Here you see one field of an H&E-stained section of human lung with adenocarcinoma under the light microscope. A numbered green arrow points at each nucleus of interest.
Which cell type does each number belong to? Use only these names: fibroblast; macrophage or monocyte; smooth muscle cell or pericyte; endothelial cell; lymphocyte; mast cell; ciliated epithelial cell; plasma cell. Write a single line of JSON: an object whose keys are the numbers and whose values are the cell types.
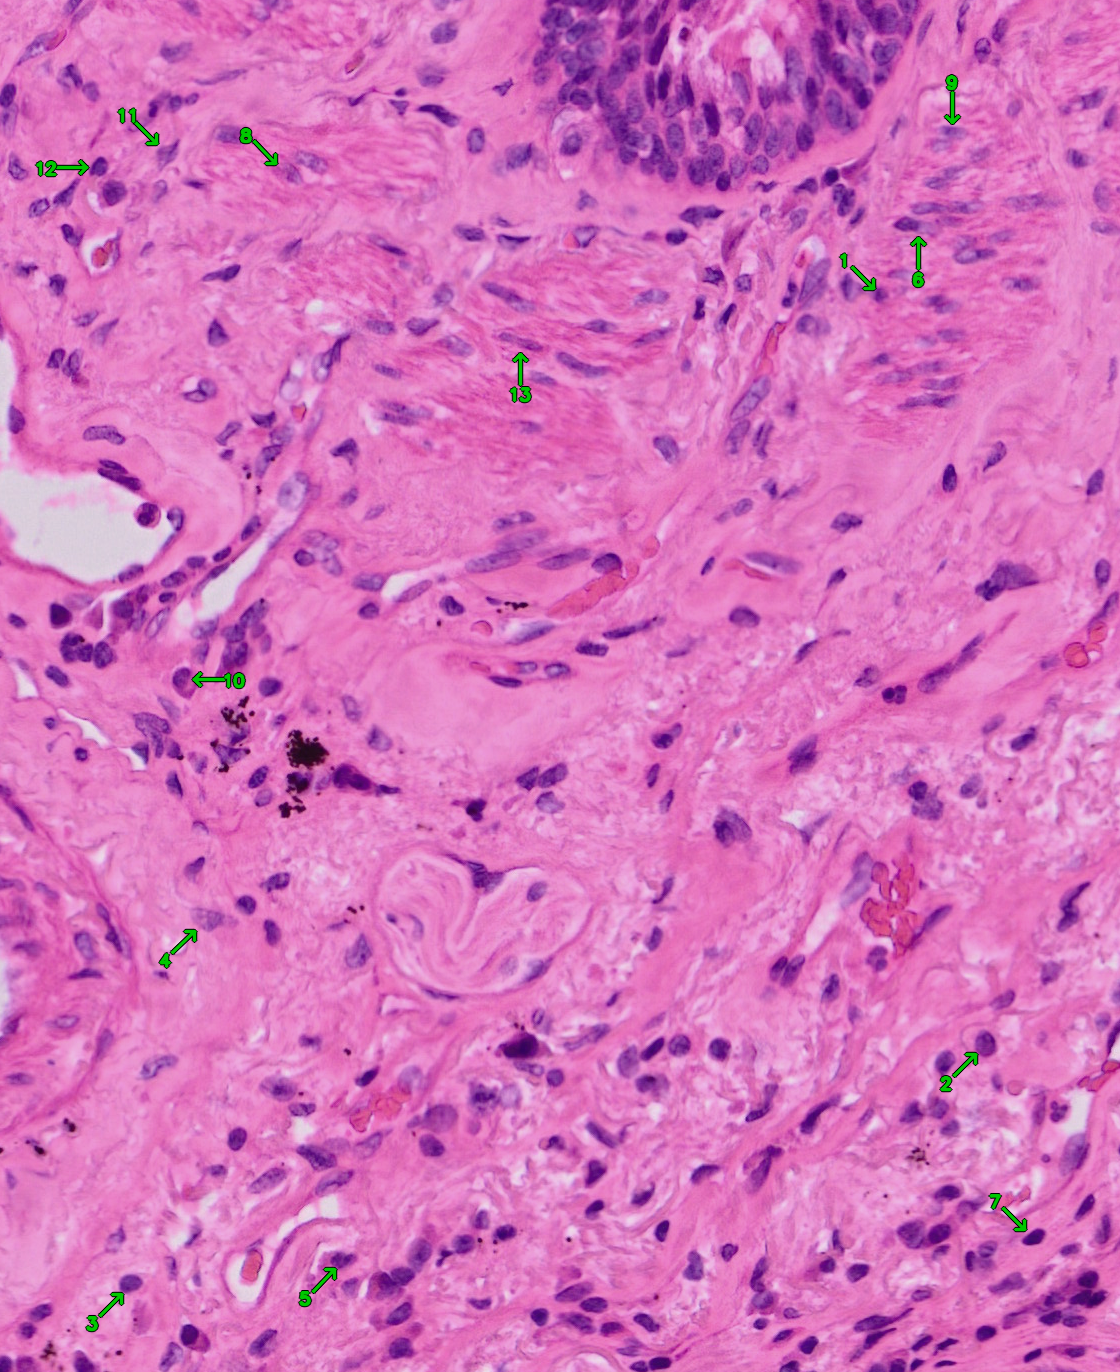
{"1": "smooth muscle cell or pericyte", "2": "plasma cell", "3": "lymphocyte", "4": "fibroblast", "5": "plasma cell", "6": "smooth muscle cell or pericyte", "7": "lymphocyte", "8": "smooth muscle cell or pericyte", "9": "smooth muscle cell or pericyte", "10": "plasma cell", "11": "fibroblast", "12": "mast cell", "13": "smooth muscle cell or pericyte"}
